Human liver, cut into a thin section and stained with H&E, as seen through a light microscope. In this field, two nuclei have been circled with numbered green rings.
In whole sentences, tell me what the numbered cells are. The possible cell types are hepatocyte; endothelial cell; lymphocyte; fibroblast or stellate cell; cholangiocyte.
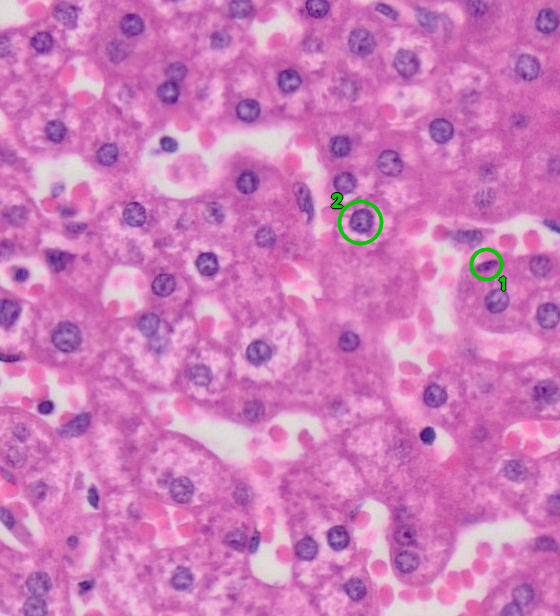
Cell 1 is a fibroblast or stellate cell and cell 2 is a hepatocyte.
